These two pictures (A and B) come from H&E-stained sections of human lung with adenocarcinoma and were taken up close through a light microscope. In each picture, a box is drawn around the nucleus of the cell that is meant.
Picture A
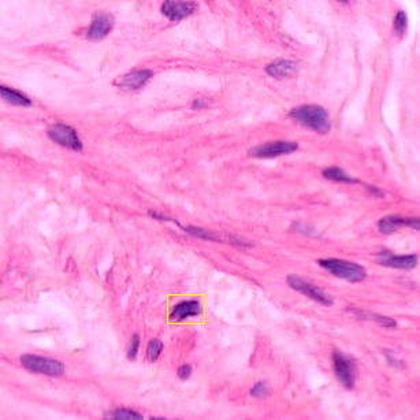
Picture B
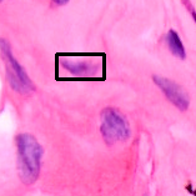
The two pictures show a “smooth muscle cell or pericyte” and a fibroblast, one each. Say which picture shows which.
A: smooth muscle cell or pericyte
B: fibroblast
